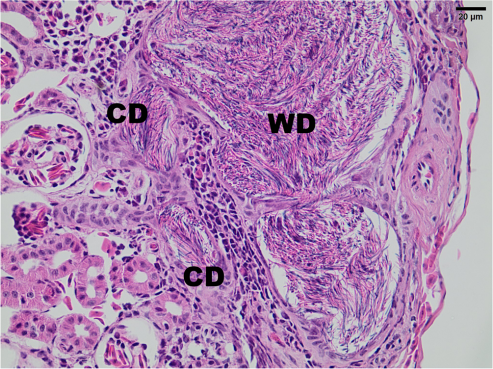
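Kidney tissue beside a large duct packed with sperm. The duct's lumen is filled with long, thin, pink-and-purple threads running in swirling, wave-like bundles, the tails and heads of many sperm. It is bounded by a thin wall with flattened cells and a layer of connective tissue. Smaller ducts lined by cuboidal cells with round purple nuclei lie alongside and open toward it, and some of them also hold thread-like material. Dense clusters of small dark nuclei fill the spaces between. At left, round renal corpuscles and tubules with pale pink cytoplasm and central nuclei form the kidney.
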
